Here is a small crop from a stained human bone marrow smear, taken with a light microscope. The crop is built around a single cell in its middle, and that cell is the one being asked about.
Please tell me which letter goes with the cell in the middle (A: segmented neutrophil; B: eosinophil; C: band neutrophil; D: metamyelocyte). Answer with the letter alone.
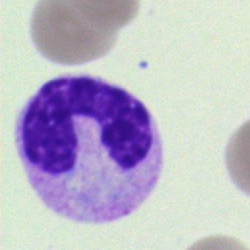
C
